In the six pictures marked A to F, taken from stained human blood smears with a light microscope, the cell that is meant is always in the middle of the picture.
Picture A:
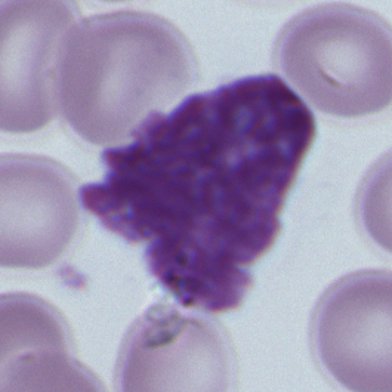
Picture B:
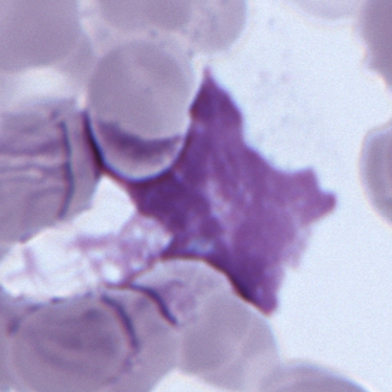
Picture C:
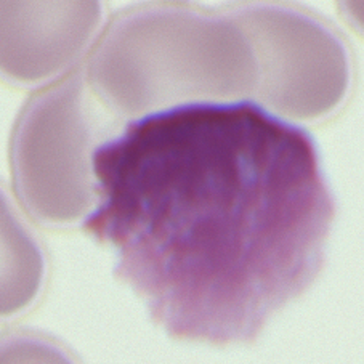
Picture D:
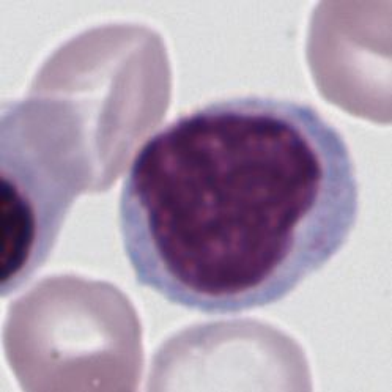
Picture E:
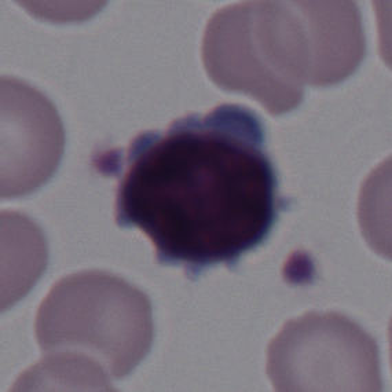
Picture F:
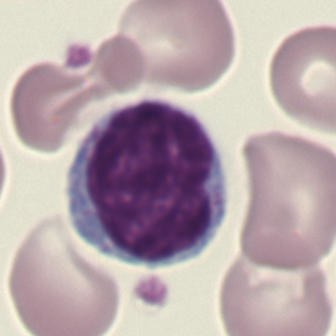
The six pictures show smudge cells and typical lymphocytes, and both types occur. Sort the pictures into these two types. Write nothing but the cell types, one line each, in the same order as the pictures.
smudge cell
smudge cell
smudge cell
typical lymphocyte
typical lymphocyte
typical lymphocyte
